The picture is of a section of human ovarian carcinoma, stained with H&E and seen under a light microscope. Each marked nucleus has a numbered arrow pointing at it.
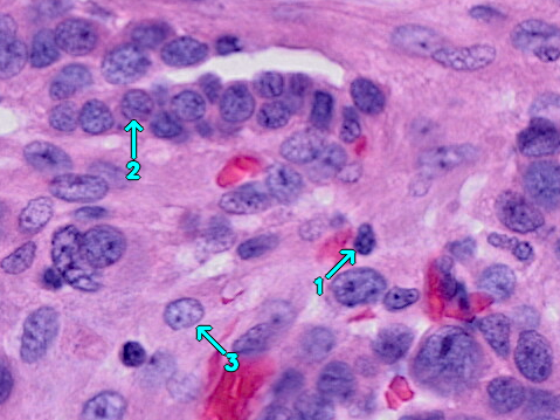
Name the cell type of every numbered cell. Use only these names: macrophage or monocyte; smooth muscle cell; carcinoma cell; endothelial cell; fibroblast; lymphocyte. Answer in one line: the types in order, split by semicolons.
lymphocyte; carcinoma cell; fibroblast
